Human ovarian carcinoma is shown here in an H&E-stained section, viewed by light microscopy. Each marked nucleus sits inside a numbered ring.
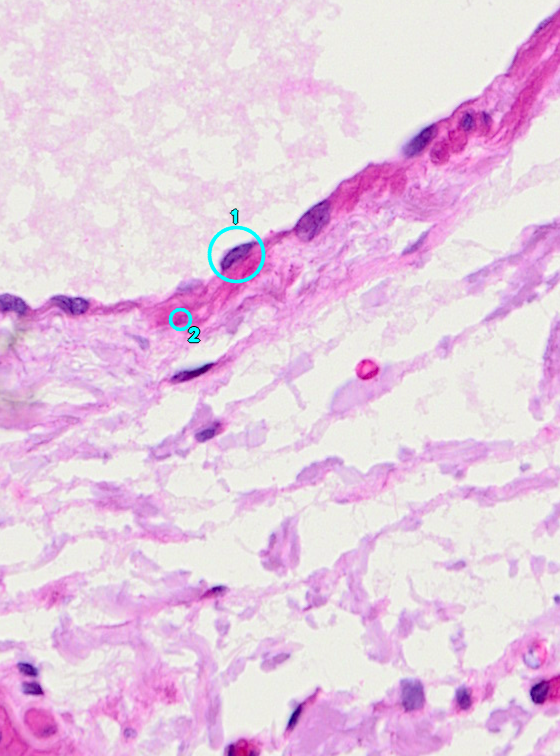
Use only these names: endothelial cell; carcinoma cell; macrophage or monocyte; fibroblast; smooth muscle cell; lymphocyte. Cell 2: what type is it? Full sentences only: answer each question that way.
The nucleus marked 2 is the nucleus of a smooth muscle cell.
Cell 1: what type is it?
The nucleus marked 1 is the nucleus of an endothelial cell.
